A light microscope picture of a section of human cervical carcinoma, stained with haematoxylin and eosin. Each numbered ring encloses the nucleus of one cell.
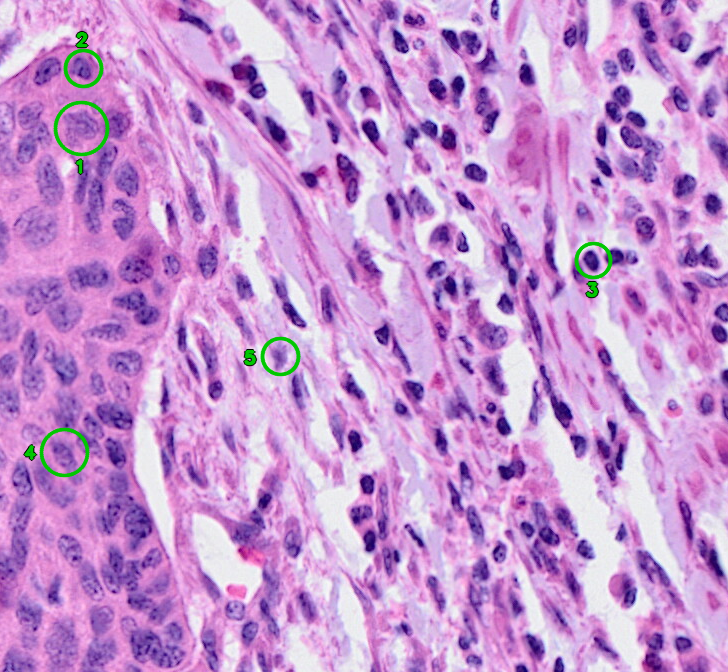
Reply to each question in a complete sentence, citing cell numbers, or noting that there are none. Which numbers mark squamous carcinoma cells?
The cells 1, 2 and 4 in this section are squamous carcinoma cells.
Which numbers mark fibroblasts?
Cell 5 represents a fibroblast, and no other numbered cell does.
